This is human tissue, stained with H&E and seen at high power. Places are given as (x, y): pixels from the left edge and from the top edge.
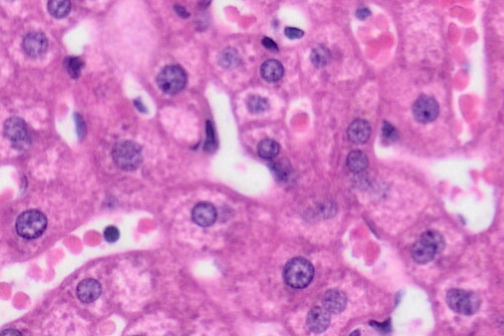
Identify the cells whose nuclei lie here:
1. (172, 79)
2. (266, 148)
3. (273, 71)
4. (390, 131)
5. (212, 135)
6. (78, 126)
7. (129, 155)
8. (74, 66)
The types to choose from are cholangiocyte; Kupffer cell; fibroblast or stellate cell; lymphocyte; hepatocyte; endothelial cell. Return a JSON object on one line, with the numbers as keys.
{"1": "hepatocyte", "2": "hepatocyte", "3": "hepatocyte", "4": "fibroblast or stellate cell", "5": "Kupffer cell", "6": "endothelial cell", "7": "hepatocyte", "8": "fibroblast or stellate cell"}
